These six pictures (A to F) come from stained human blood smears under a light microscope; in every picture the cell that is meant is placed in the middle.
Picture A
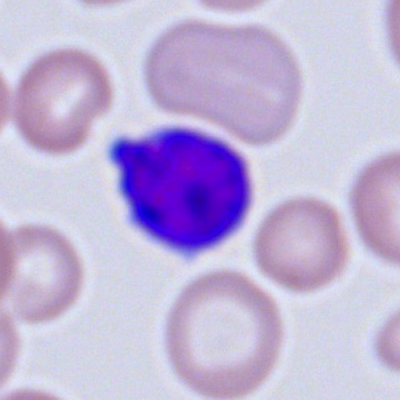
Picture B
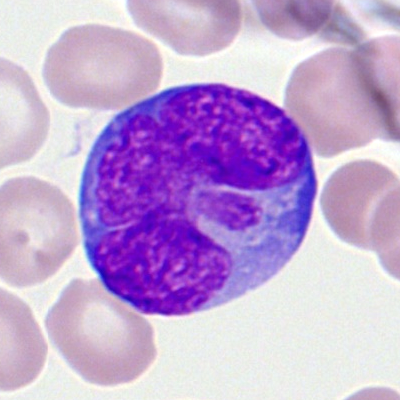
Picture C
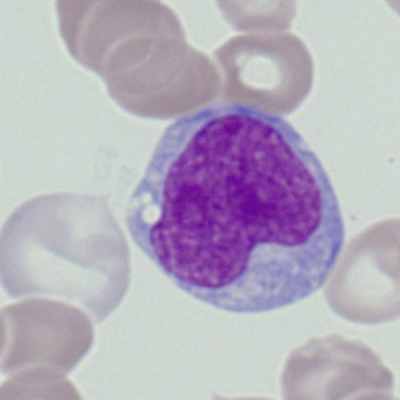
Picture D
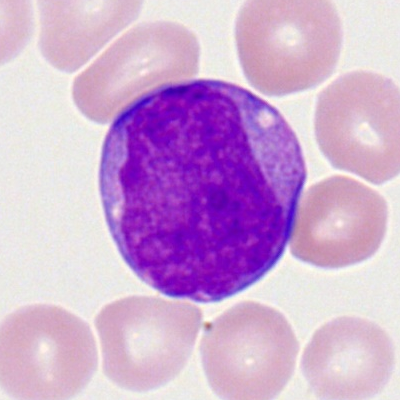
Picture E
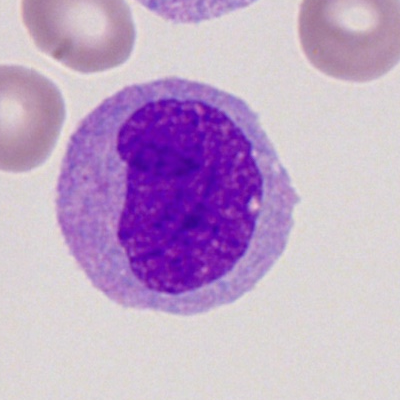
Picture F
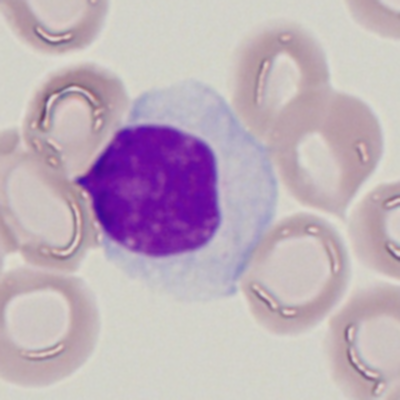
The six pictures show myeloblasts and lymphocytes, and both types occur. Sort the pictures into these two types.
A: lymphocyte
B: myeloblast
C: myeloblast
D: myeloblast
E: myeloblast
F: lymphocyte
